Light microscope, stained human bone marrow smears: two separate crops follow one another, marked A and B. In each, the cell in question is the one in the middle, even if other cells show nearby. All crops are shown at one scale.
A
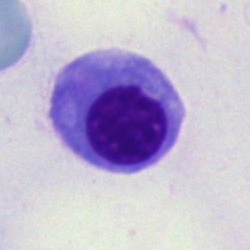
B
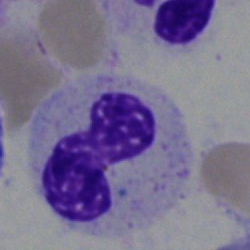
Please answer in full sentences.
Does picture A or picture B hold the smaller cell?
It is the cell in picture A; the cell in picture B has about 1.5 times its area.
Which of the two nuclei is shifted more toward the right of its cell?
Seen within its cell, the nucleus in picture A lies further toward the right.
